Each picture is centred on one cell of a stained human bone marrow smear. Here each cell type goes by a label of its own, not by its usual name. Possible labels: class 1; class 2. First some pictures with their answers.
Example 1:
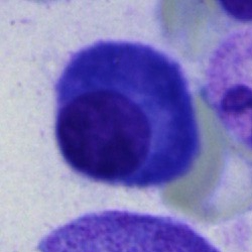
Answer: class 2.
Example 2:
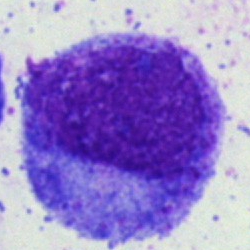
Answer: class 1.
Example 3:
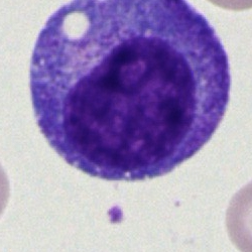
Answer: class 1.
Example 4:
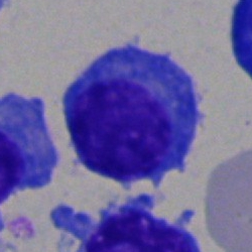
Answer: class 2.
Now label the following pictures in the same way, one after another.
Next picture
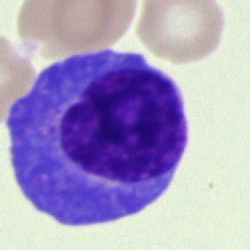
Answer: class 2.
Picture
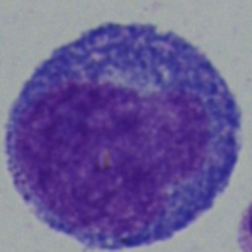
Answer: class 1.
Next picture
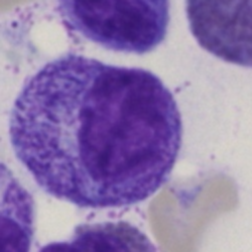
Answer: class 1.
